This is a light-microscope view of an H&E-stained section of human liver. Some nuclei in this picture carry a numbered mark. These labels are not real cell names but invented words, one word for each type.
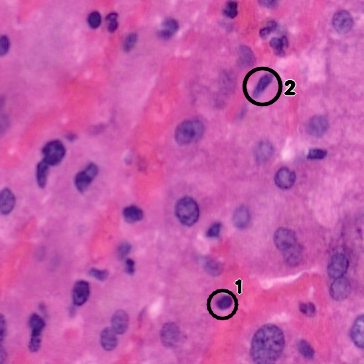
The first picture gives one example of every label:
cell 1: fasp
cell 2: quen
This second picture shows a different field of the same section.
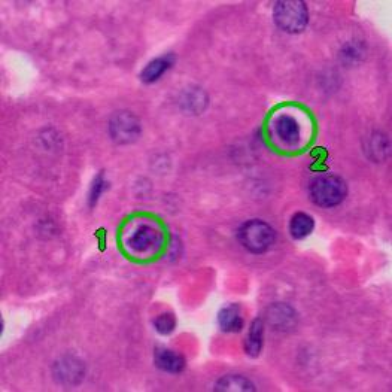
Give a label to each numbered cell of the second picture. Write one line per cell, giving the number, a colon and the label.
1: quen
2: fasp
